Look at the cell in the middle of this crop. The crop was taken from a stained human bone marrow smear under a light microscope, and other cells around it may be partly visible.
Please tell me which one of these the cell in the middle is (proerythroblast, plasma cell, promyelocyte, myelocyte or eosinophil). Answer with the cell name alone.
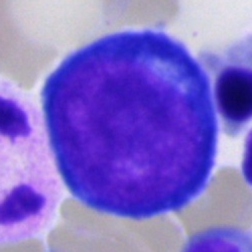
proerythroblast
